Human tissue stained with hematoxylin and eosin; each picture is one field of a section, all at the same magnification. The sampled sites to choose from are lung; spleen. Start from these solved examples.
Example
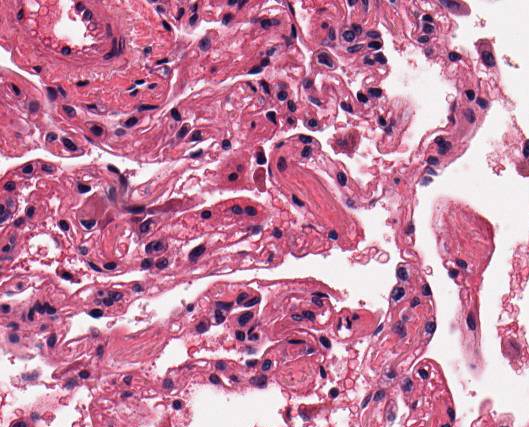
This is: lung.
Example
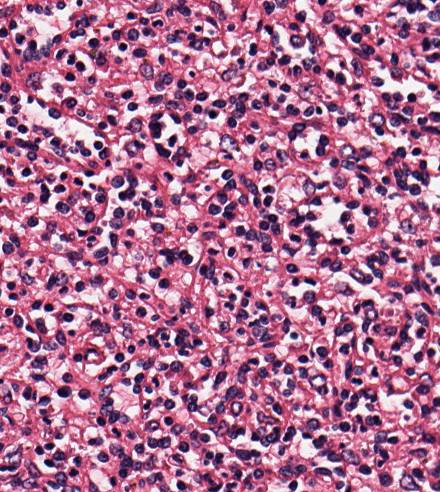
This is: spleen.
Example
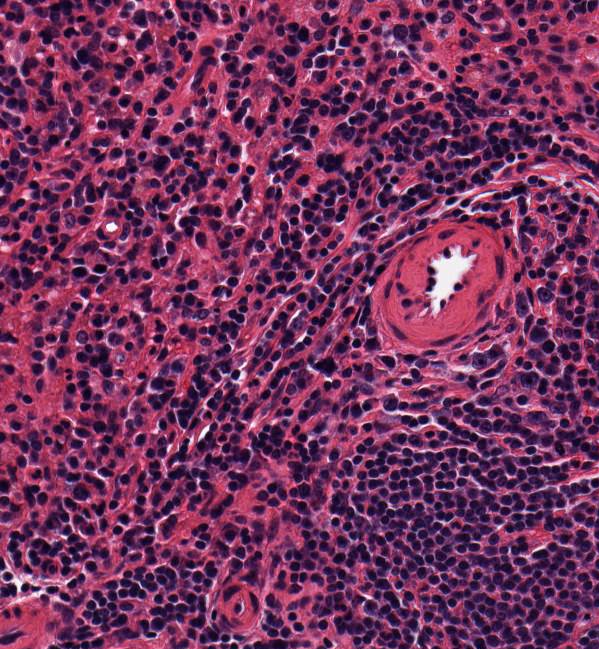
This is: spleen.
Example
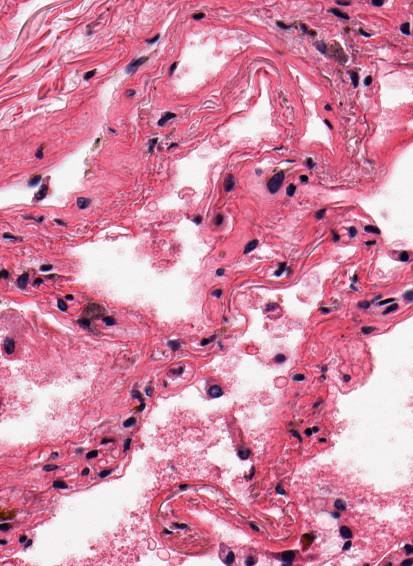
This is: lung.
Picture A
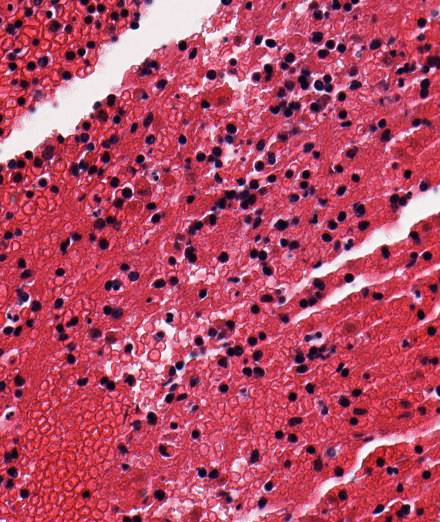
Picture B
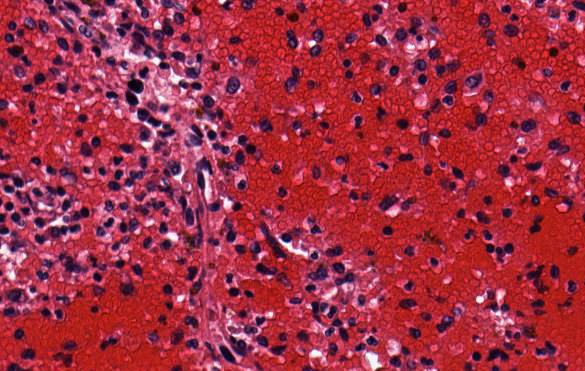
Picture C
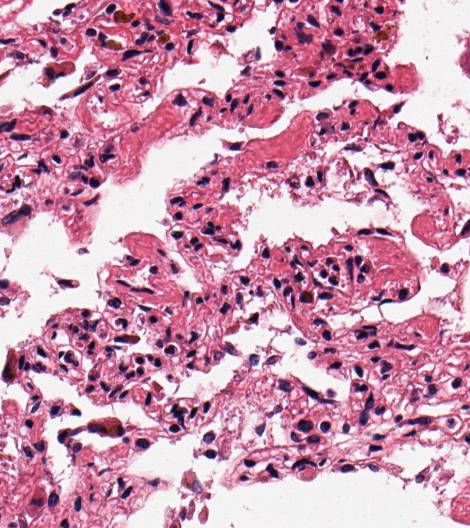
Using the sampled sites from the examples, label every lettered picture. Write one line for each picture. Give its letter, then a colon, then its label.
A: spleen.
B: spleen.
C: lung.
